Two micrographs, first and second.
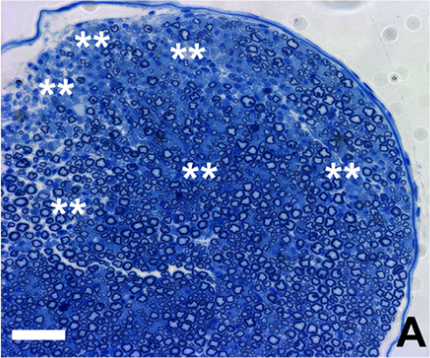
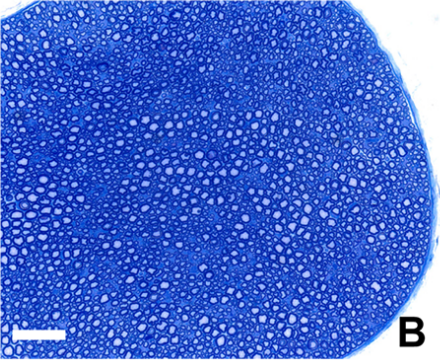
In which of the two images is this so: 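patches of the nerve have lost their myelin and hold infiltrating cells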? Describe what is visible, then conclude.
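Second image: the fibres are evenly packed with dark myelin rings throughout. First image: scattered patches show paler, loosened tissue with small dense cells and few myelin rings.
Hence: the first image.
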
